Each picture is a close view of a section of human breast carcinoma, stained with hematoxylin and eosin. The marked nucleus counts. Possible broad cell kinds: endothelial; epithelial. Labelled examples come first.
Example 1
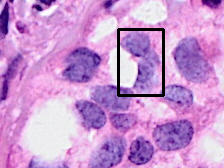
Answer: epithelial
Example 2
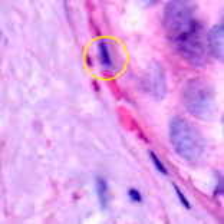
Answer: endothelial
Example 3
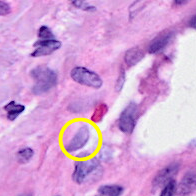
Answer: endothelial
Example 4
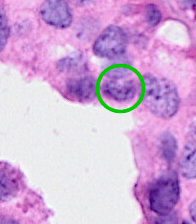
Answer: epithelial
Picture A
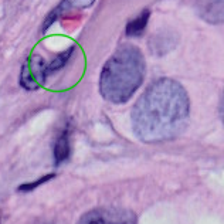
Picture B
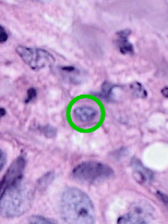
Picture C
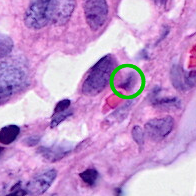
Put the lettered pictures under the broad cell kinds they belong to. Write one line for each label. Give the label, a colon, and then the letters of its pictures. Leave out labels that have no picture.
endothelial: A, B, C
